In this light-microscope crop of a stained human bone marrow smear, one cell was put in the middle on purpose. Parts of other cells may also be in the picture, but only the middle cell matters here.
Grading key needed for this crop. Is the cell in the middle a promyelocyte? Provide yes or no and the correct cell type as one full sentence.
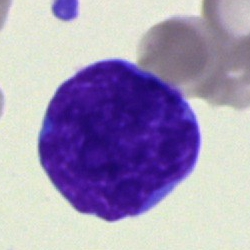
No, the central cell is classed as a blast and not as a promyelocyte.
